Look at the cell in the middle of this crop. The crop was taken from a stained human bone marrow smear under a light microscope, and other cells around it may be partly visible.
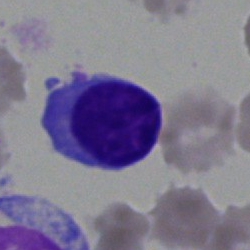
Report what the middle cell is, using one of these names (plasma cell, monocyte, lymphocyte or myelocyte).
lymphocyte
